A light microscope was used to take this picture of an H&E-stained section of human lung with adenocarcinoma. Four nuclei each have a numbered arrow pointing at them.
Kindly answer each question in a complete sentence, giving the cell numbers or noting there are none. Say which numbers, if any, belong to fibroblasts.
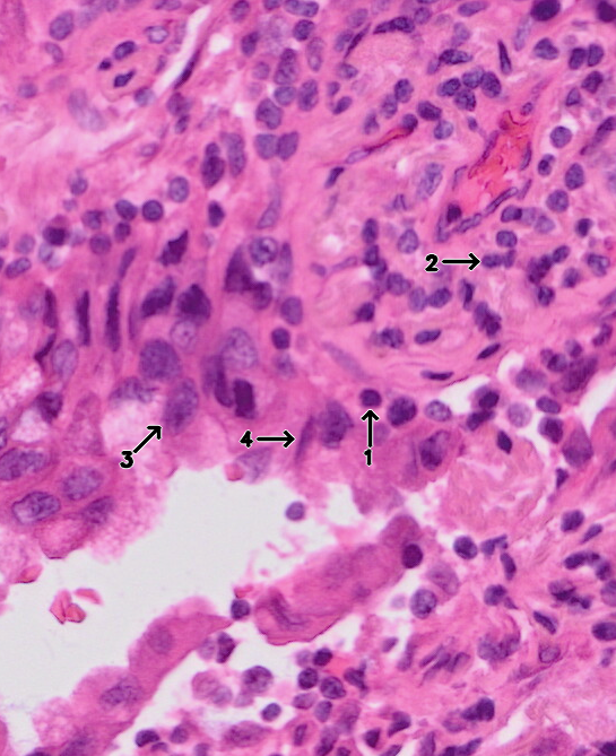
The tally for fibroblasts among the numbered cells is zero.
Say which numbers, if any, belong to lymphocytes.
Cells 1 and 2 in the section are typed as lymphocytes.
